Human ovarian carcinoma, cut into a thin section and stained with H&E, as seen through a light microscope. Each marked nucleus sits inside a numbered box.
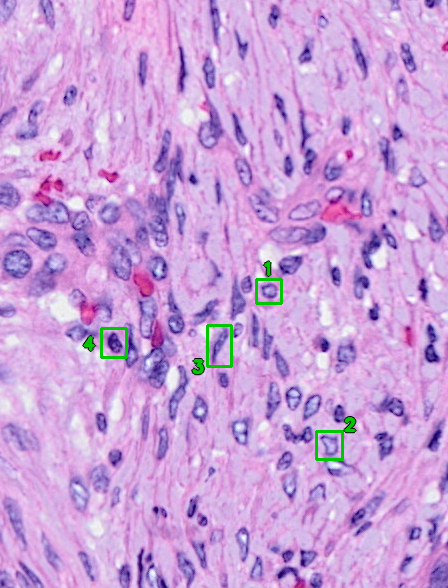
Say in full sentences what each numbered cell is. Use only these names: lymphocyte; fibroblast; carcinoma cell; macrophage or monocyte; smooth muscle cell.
Cell 1 is a fibroblast, cell 2 is a fibroblast, cell 3 is a fibroblast and cell 4 is a lymphocyte.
